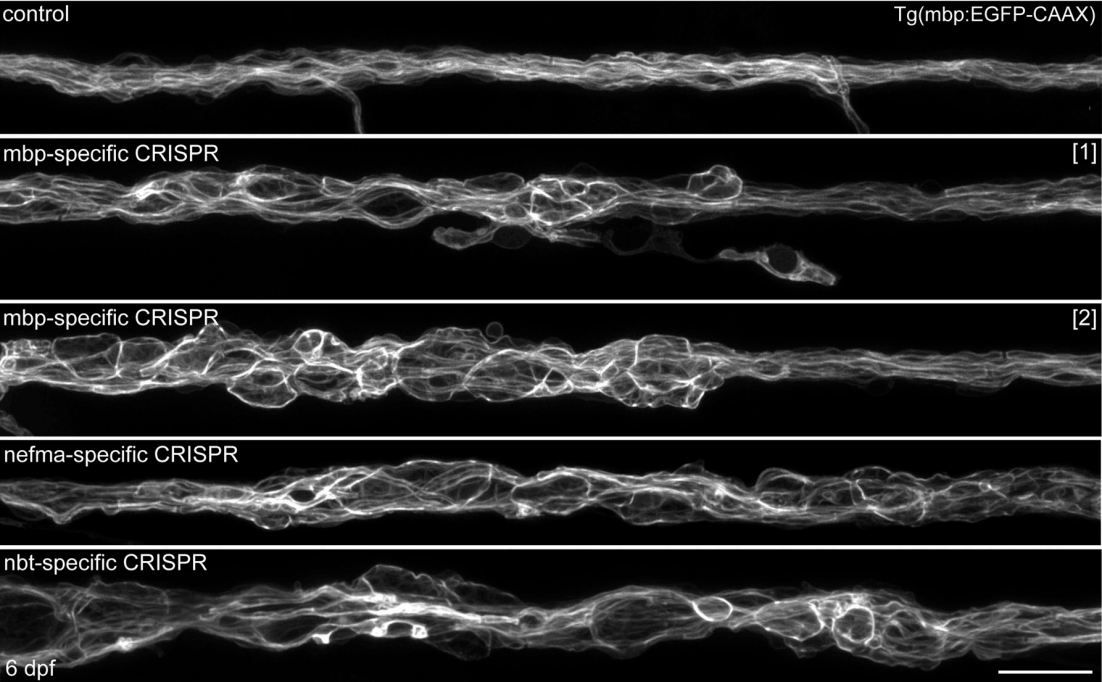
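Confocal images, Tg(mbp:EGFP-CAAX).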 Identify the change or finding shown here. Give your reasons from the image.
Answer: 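Myelin pathology. The top strip shows a narrow nerve of smooth, parallel, tightly packed membrane profiles. The lower strips show a wider nerve filled with rounded, bubble-like, irregular membrane loops. In the lower strips some membrane profiles bulge out of the bundle.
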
